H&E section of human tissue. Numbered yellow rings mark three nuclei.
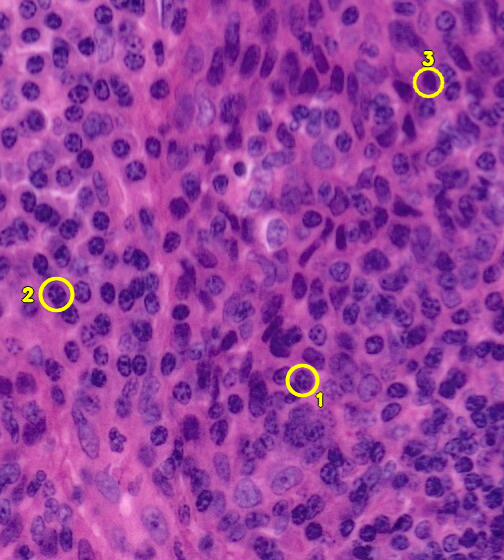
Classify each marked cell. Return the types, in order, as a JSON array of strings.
["plasma cell", "plasma cell", "squamous epithelial cell"]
